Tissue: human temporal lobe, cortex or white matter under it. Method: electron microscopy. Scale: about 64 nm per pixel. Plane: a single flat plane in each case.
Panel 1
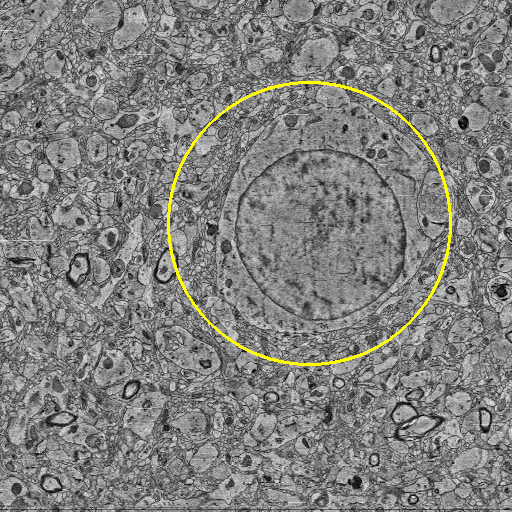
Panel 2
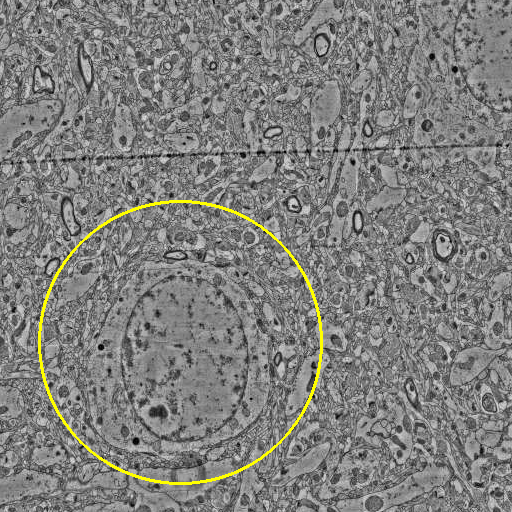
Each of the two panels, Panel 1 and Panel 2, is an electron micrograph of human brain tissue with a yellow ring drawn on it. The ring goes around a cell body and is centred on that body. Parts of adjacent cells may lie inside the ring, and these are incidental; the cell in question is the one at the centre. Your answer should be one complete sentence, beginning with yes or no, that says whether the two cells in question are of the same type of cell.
Yes, the two cells are of the same type.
